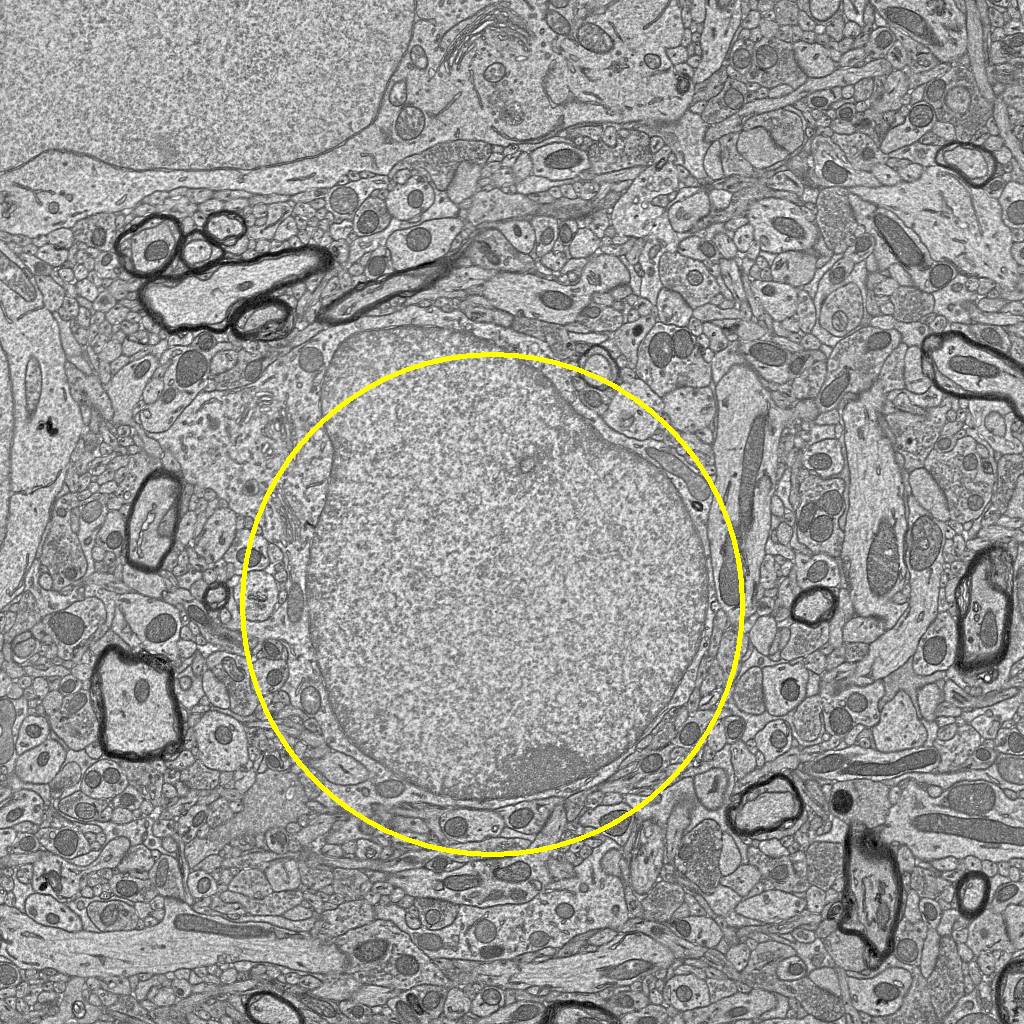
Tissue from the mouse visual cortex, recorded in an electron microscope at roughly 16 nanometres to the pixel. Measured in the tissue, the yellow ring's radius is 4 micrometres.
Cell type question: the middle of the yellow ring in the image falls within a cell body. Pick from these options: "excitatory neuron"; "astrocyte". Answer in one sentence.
The cell body at the center of the ring belongs to an astrocyte.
